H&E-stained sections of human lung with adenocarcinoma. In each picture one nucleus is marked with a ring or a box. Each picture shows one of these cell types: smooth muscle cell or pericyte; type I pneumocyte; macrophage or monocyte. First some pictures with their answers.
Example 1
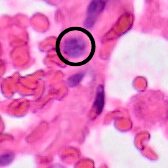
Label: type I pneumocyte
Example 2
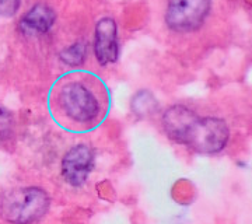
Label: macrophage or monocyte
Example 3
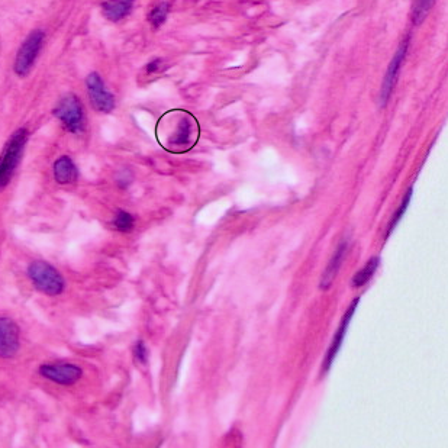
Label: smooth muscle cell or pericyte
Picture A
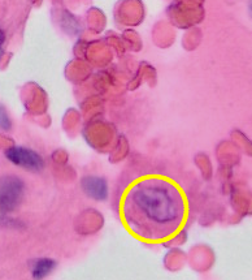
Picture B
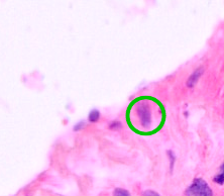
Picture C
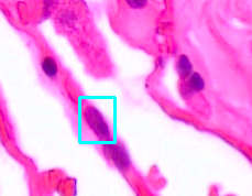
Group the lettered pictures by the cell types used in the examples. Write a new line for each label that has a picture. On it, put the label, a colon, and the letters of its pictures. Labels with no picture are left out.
smooth muscle cell or pericyte: B
type I pneumocyte: C
macrophage or monocyte: A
